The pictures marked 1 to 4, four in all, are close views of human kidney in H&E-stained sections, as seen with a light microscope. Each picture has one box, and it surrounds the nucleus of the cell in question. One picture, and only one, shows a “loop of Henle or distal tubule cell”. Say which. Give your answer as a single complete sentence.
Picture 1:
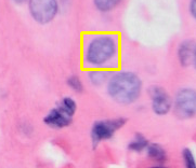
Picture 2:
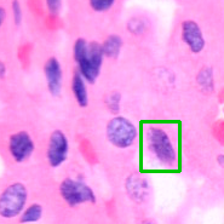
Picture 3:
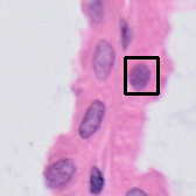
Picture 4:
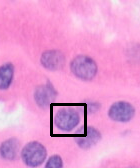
Picture 2 shows the “loop of Henle or distal tubule cell”.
